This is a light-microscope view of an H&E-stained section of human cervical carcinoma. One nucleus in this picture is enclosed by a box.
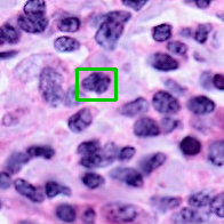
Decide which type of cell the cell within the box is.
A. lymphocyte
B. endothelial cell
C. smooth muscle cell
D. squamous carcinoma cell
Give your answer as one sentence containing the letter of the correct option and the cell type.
Here the cell within the box is a lymphocyte, which makes option A correct.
